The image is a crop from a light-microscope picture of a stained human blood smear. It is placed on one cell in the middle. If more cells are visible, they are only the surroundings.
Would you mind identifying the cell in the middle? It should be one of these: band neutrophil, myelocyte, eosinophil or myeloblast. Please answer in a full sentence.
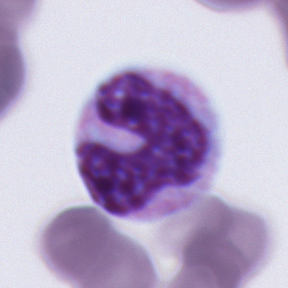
The cell at the heart of this crop is a band neutrophil.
